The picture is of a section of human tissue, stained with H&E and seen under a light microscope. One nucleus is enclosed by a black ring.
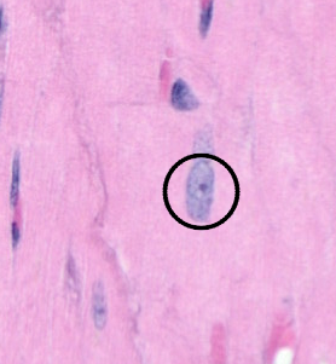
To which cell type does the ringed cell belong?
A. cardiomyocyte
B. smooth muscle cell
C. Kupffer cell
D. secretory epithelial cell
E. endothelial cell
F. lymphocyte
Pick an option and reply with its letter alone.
A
